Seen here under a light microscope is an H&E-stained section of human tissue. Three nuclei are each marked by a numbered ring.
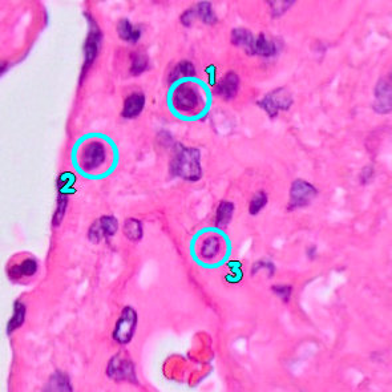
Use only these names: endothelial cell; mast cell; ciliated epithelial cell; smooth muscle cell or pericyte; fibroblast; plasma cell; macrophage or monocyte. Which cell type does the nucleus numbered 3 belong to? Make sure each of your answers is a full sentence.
The nucleus labeled 3 belongs to a mast cell.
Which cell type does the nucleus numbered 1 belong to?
The cell indicated with the number 1 is classed as a plasma cell.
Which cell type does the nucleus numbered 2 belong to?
Cell 2, among those numbered, is a mast cell.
